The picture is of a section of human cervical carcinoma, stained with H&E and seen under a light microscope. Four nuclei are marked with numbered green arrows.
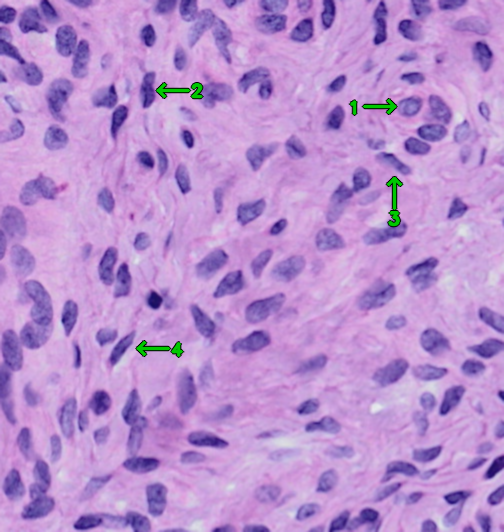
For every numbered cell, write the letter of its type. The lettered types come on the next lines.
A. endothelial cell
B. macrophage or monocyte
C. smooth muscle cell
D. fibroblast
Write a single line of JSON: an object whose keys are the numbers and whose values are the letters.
{"1": "A", "2": "D", "3": "D", "4": "D"}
